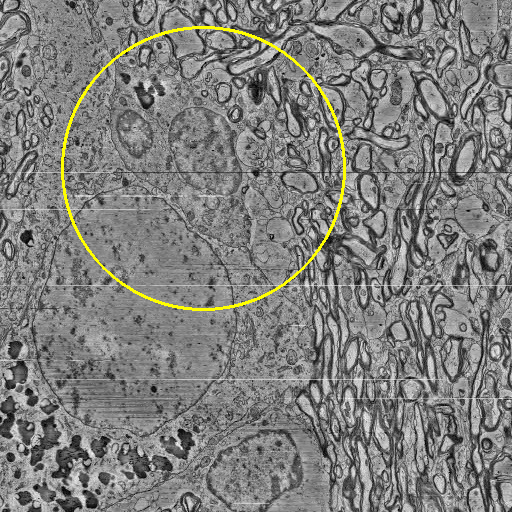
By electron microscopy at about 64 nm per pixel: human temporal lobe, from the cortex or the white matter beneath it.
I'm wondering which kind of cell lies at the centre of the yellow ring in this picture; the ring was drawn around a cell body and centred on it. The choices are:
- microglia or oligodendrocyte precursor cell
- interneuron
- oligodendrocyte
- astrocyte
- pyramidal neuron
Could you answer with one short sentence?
At the centre of the ring lies an oligodendrocyte.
